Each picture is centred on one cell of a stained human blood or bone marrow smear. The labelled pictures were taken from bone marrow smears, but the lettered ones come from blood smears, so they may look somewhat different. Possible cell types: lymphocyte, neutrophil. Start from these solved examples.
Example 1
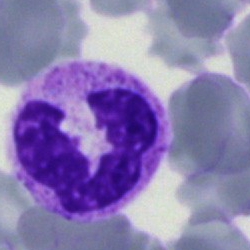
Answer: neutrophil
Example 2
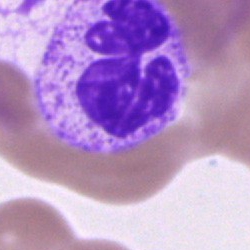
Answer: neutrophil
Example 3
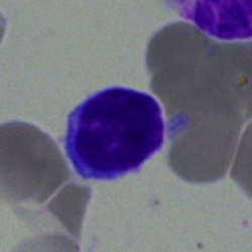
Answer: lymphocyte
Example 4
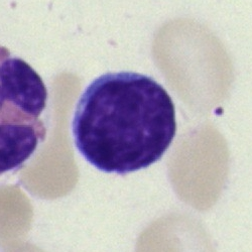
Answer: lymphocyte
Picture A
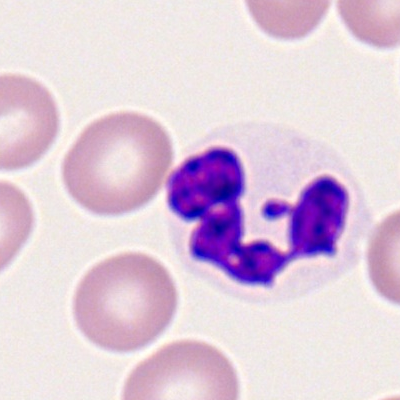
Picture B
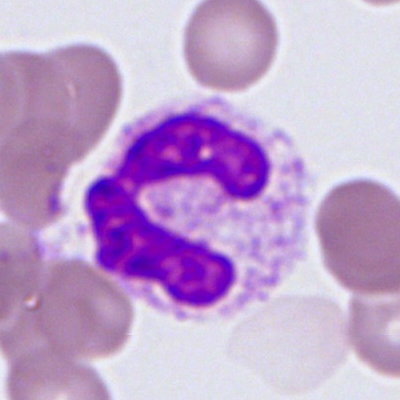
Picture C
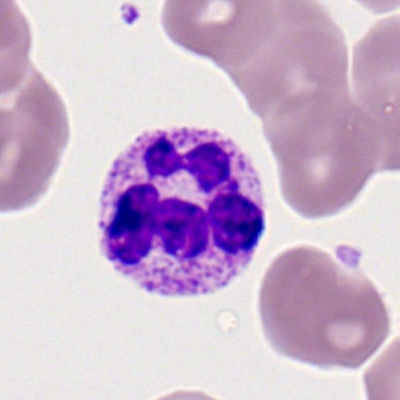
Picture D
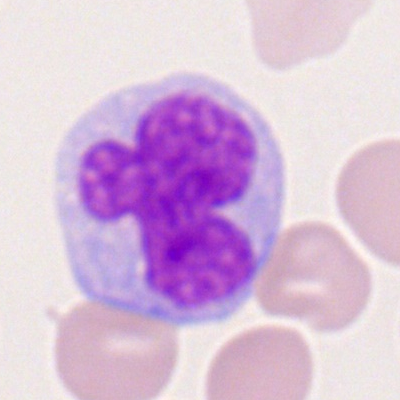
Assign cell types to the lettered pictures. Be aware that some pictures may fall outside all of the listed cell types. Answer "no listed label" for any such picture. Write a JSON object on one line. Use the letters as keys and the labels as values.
{"A": "neutrophil", "B": "neutrophil", "C": "neutrophil", "D": "no listed label"}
